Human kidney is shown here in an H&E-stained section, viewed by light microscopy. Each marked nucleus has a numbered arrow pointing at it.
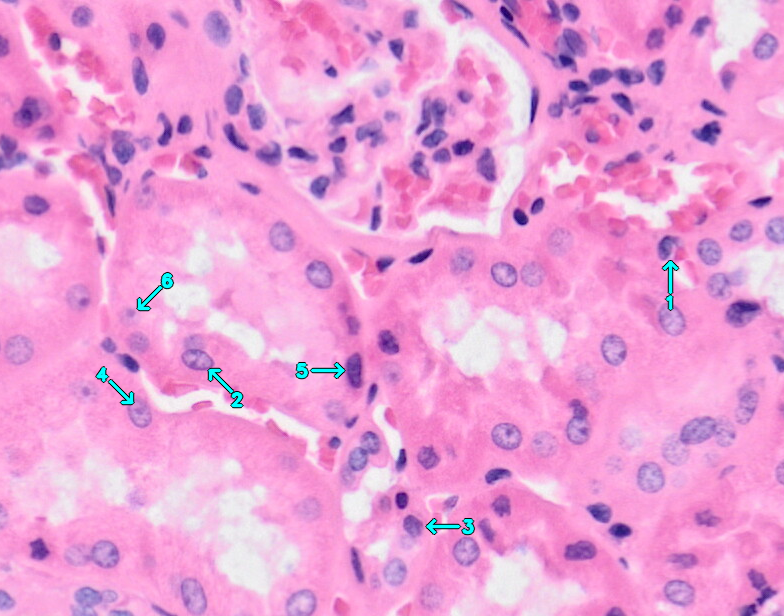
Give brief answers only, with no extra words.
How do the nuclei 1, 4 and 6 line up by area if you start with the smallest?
6, 1, 4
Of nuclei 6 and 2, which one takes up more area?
2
